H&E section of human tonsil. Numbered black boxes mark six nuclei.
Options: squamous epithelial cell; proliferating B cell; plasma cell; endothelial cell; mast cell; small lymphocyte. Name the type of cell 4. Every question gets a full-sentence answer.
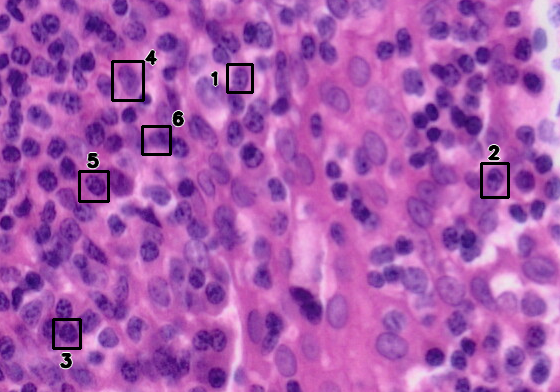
The numbered cell 4 in this field is a squamous epithelial cell.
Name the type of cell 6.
The nucleus with number 6 is that of a squamous epithelial cell.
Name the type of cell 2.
The marked cell with the number 2 is recognised as a plasma cell.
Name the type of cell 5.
The marked cell bearing number 5 is a plasma cell.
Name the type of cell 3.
The numeral 3 marks a plasma cell in this section.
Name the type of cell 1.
Recognised here as a plasma cell is the cell numbered 1.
